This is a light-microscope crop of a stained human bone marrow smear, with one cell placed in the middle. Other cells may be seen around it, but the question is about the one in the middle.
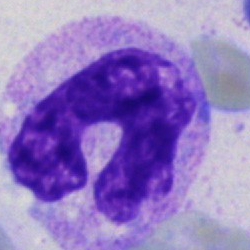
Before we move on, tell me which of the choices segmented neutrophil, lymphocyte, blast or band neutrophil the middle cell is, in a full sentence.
As for the central cell, it is a band neutrophil.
